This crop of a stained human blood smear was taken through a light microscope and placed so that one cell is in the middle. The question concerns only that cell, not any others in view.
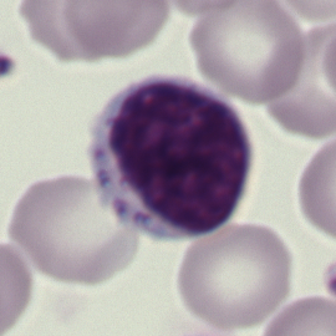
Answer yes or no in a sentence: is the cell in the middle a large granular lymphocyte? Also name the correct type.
Yes, the cell of interest in the centre is a large granular lymphocyte.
